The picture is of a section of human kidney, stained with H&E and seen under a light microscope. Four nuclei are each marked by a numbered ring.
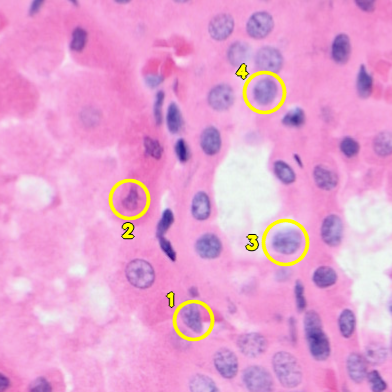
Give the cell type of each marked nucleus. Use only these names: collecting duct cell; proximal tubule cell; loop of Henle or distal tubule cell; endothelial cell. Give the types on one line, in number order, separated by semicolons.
endothelial cell; proximal tubule cell; loop of Henle or distal tubule cell; loop of Henle or distal tubule cell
